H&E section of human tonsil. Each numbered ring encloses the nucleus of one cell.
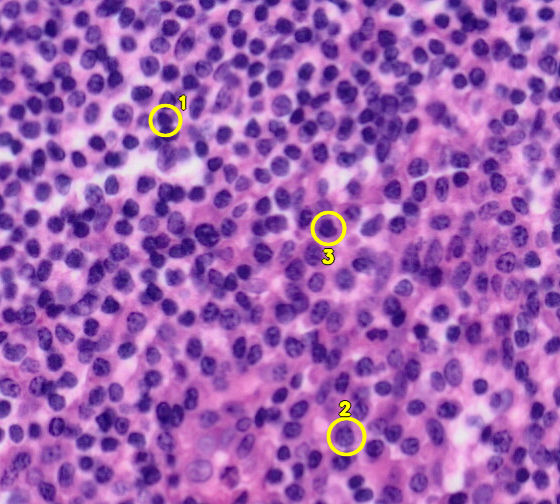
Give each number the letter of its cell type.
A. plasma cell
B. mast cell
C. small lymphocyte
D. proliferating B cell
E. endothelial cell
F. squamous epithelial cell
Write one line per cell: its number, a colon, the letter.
1: C
2: A
3: A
